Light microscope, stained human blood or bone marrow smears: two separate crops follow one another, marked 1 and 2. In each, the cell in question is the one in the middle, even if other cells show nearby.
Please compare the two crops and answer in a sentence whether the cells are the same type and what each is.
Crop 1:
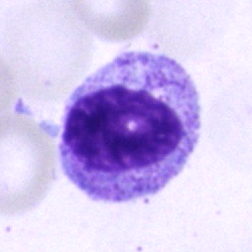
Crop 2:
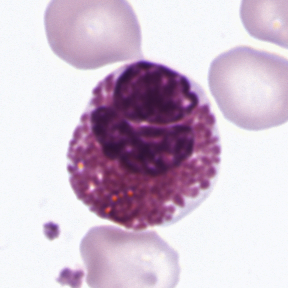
No, the cell at the middle of crop 1 is a myelocyte, while crop 2 centres on an eosinophil.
